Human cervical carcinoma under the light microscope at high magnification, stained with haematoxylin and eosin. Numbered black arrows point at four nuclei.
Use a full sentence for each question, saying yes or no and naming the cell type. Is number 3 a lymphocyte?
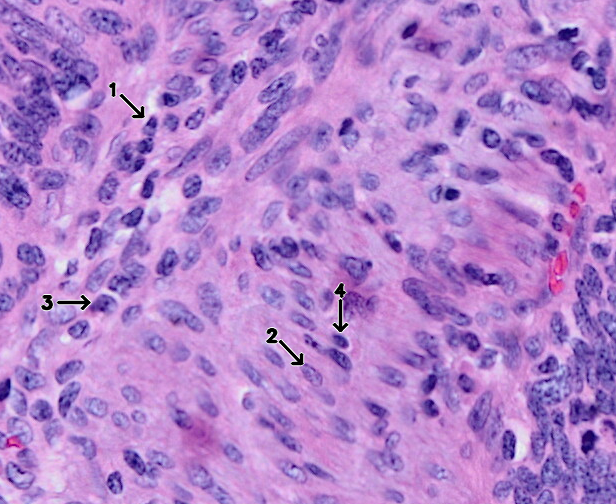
Yes, it is a lymphocyte that number 3 identifies.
